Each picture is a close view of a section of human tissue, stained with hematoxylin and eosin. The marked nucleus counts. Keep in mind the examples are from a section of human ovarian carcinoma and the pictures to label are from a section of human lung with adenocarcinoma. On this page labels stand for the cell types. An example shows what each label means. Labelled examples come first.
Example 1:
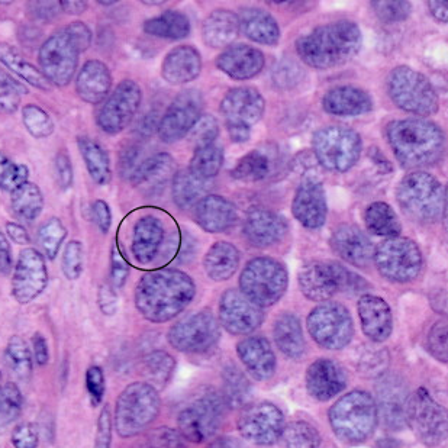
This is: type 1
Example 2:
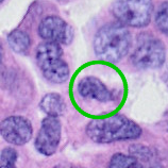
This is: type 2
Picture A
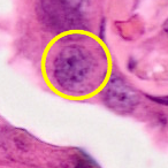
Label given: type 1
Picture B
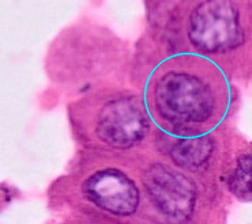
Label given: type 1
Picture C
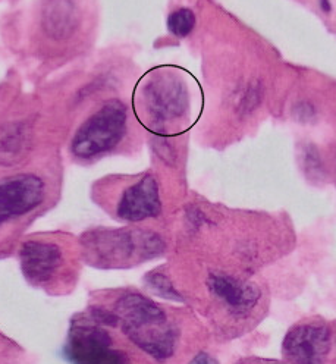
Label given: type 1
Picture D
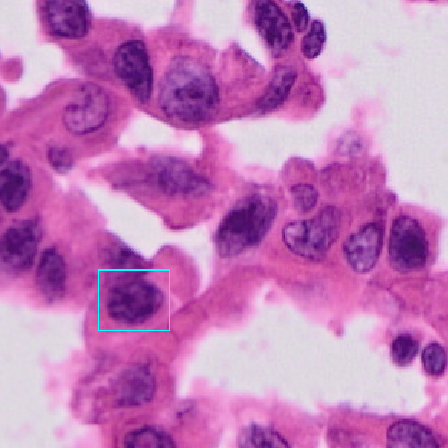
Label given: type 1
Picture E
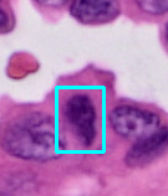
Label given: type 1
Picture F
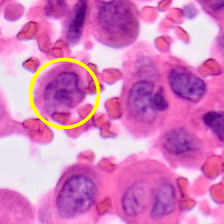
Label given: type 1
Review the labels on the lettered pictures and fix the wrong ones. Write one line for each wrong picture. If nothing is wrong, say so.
Every label is right.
